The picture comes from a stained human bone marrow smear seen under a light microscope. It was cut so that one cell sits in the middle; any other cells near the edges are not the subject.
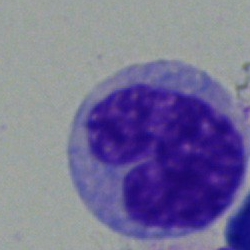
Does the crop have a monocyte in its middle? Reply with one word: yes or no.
yes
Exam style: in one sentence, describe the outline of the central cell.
Its periphery is smooth, and no projections arise from it.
